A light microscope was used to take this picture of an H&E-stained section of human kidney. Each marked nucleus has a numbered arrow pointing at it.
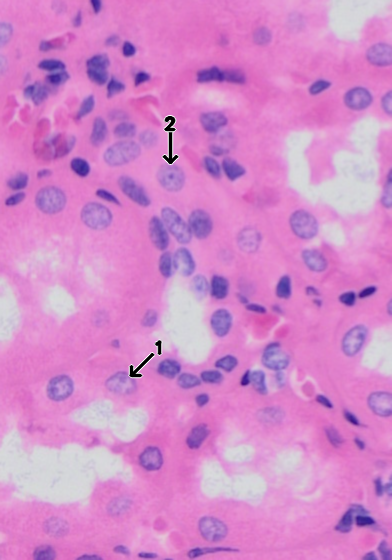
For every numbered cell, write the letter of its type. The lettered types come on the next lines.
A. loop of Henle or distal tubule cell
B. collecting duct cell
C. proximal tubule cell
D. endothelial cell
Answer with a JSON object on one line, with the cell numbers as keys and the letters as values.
{"1": "C", "2": "B"}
